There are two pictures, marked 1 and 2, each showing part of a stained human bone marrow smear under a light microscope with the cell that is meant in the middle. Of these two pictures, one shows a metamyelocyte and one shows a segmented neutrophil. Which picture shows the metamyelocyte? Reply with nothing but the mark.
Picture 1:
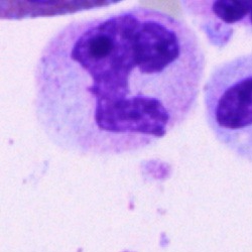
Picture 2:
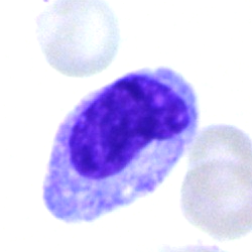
2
